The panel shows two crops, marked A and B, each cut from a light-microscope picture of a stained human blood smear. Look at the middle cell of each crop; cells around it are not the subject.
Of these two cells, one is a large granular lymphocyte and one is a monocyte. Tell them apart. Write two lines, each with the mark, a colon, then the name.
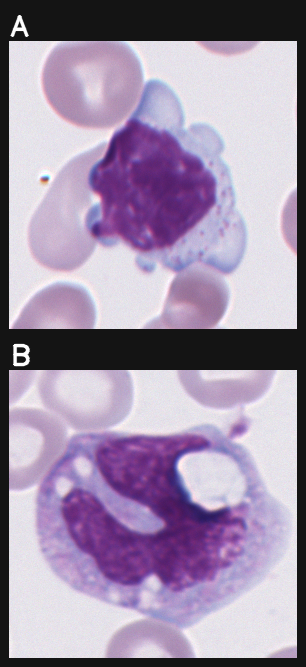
A: large granular lymphocyte
B: monocyte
